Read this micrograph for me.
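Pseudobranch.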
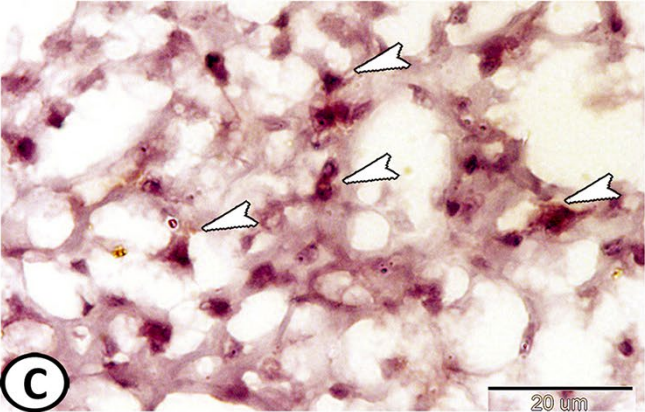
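The strands are pinkish-purple and enclose many large, pale, empty-looking spaces of varying size. Small round dark nuclei are spread along the strands. Scattered among them are small cells with dark nuclei and scant cytoplasm. These cells stain a deeper brownish-purple than their neighbours.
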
